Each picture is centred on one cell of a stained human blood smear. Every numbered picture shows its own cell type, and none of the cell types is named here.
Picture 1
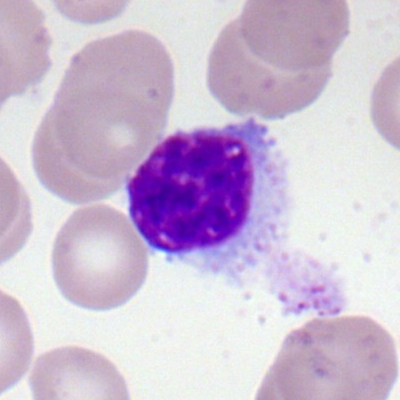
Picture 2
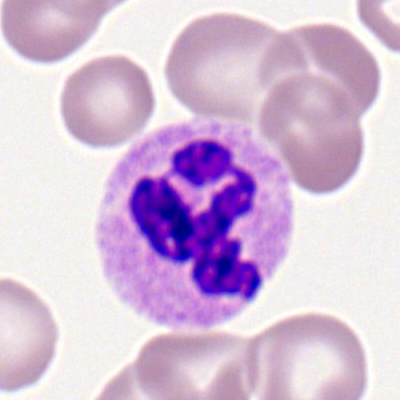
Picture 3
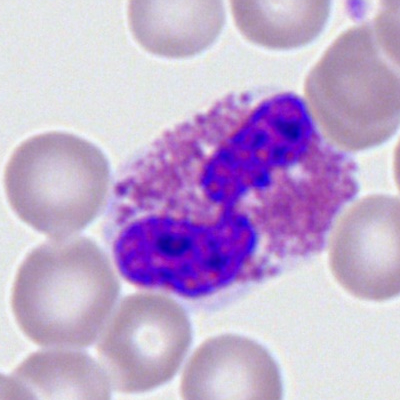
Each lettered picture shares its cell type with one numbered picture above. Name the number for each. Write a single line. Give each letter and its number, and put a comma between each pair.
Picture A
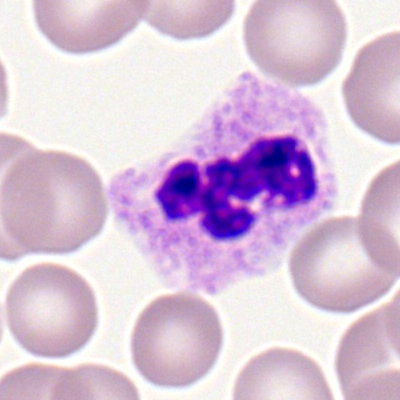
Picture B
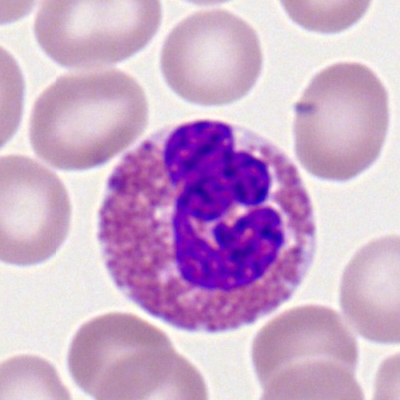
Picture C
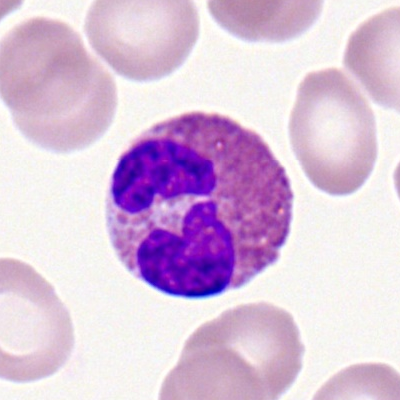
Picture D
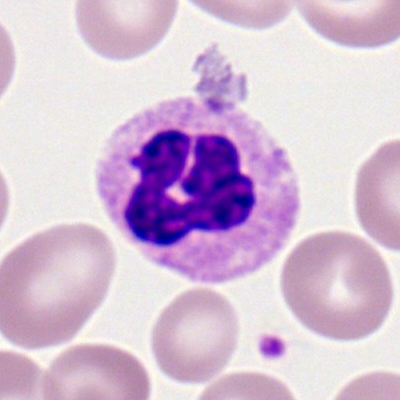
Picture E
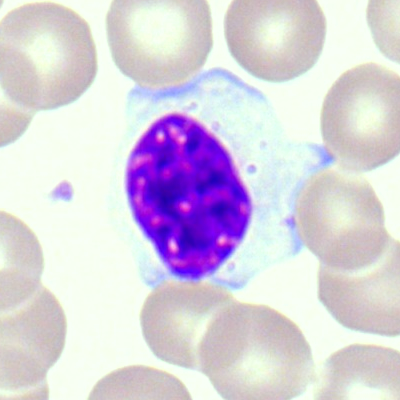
A 2, B 3, C 3, D 2, E 1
